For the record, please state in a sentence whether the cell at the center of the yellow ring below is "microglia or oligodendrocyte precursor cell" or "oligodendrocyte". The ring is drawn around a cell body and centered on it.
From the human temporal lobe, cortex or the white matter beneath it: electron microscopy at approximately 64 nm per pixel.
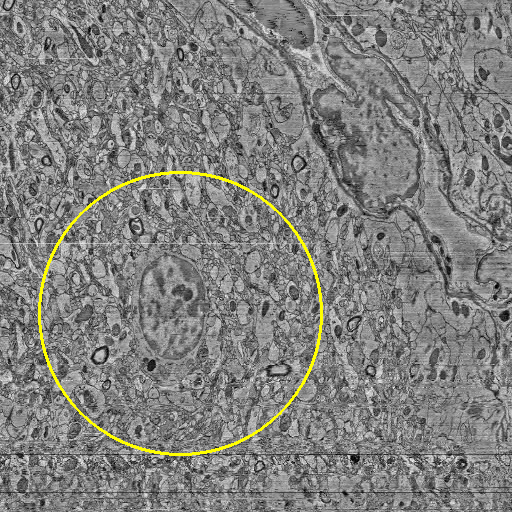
The cell at the ring's center is an oligodendrocyte.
